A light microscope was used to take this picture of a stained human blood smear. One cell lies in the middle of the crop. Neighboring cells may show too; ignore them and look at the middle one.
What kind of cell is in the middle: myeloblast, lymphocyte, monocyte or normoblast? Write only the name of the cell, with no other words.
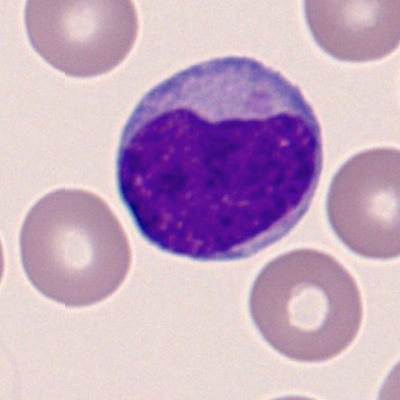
myeloblast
